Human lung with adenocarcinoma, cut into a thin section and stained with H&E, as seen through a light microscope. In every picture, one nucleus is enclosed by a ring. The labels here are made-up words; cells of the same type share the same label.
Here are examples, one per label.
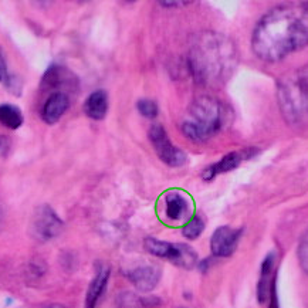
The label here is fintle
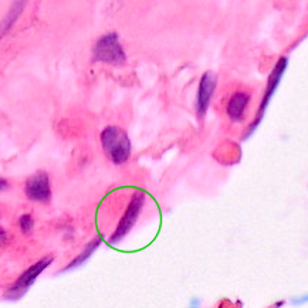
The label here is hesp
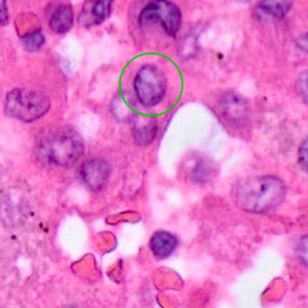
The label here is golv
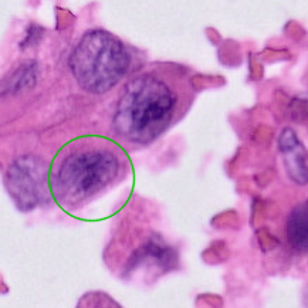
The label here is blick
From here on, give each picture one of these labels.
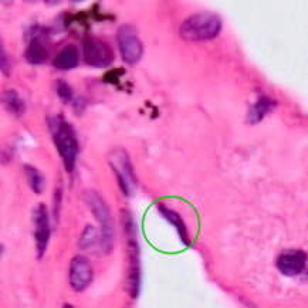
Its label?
hesp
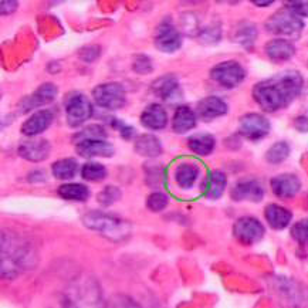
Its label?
fintle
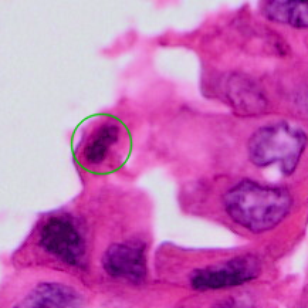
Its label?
golv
